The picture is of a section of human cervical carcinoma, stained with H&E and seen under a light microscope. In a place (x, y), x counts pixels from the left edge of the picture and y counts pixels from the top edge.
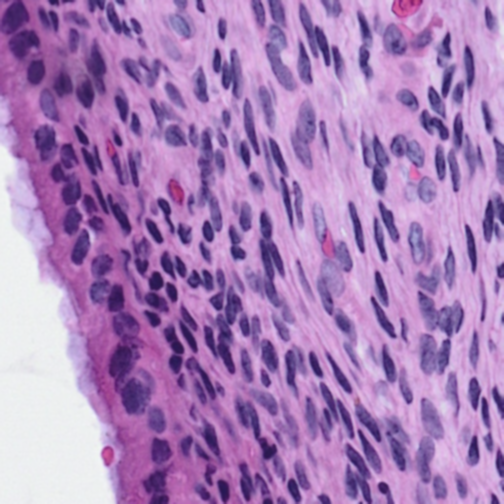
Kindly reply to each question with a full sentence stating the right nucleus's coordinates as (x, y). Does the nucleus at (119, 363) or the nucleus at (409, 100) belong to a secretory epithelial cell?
Among the two nuclei, the one lying at (119, 363) is part of a secretory epithelial cell.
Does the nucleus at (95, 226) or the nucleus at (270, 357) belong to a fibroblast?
Of the two nuclei, the one sitting at (270, 357) belongs to a fibroblast.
